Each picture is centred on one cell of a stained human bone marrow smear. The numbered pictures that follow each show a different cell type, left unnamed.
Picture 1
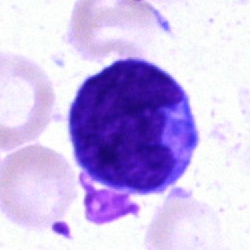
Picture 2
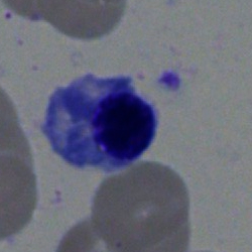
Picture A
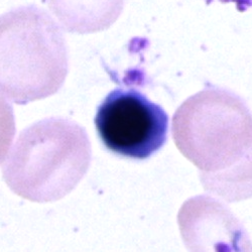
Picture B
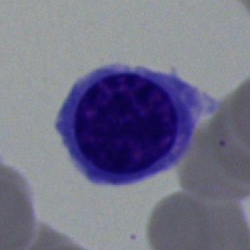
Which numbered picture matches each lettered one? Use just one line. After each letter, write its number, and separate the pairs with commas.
A 2, B 2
